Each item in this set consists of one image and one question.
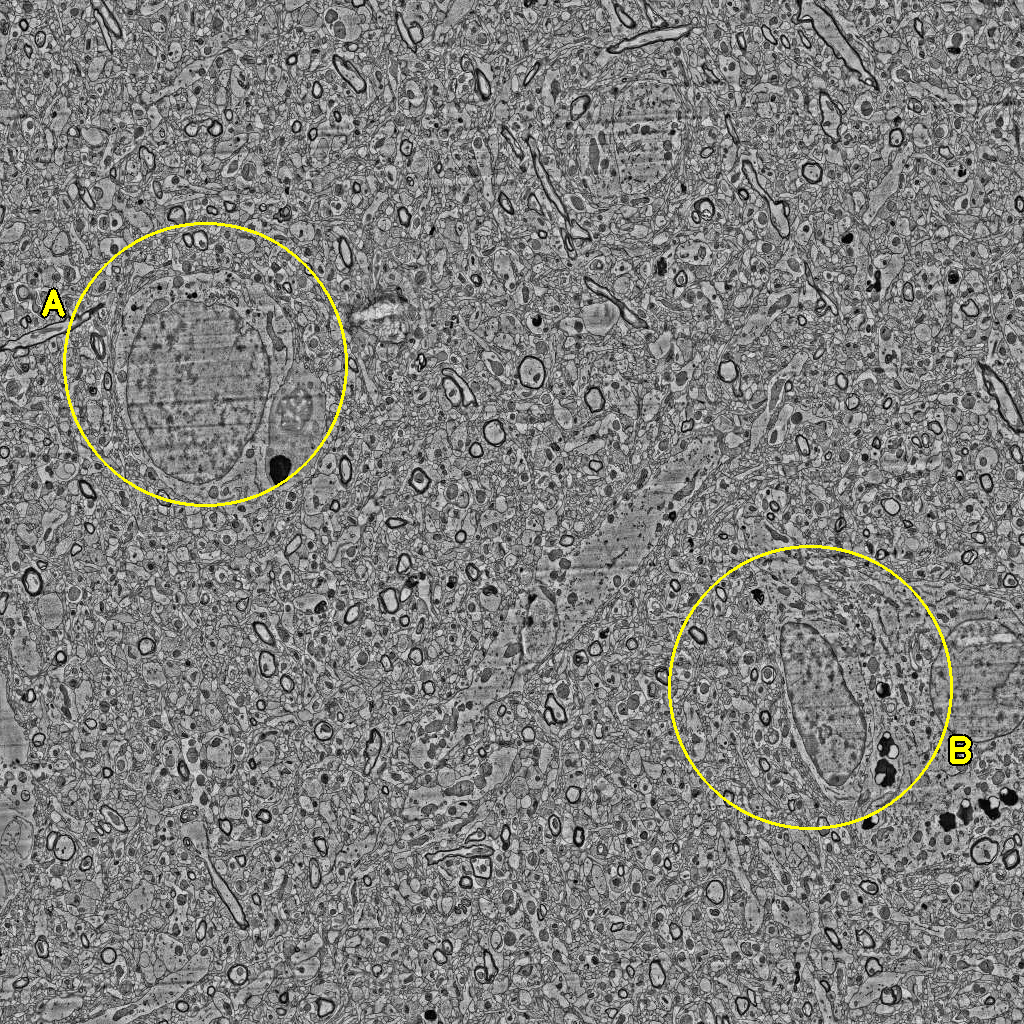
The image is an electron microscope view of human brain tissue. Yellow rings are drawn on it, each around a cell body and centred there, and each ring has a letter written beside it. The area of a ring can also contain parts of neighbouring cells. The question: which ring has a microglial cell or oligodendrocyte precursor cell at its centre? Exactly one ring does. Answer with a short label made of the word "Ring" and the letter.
Ring B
